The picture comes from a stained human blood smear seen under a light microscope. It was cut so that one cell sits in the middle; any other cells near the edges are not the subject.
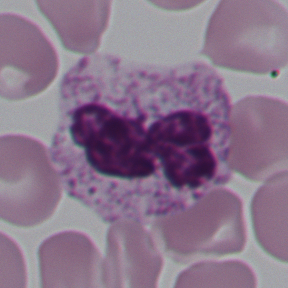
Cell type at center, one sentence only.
The central cell in this smear crop is a segmented neutrophil.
